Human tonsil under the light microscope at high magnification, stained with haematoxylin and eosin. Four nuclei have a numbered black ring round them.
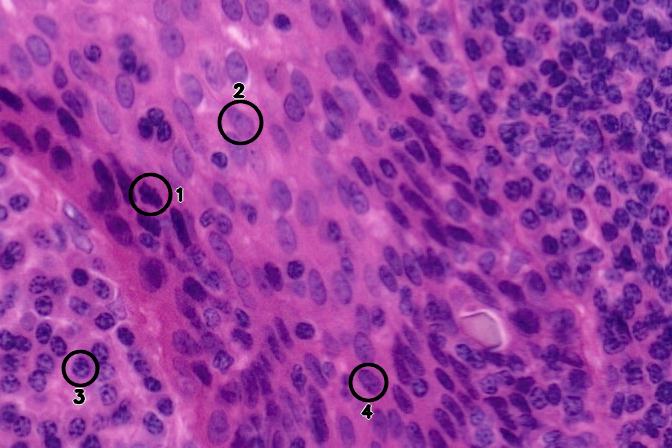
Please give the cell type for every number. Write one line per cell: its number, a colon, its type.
1: squamous epithelial cell
2: squamous epithelial cell
3: plasma cell
4: squamous epithelial cell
